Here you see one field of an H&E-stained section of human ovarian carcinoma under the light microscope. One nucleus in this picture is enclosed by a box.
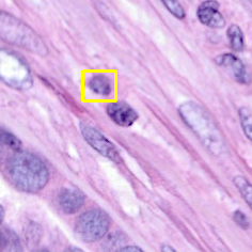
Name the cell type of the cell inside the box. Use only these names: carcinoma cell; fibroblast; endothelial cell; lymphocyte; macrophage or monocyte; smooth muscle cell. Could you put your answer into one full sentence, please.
Cytologically, the cell inside the box is to be regarded as a macrophage or monocyte.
